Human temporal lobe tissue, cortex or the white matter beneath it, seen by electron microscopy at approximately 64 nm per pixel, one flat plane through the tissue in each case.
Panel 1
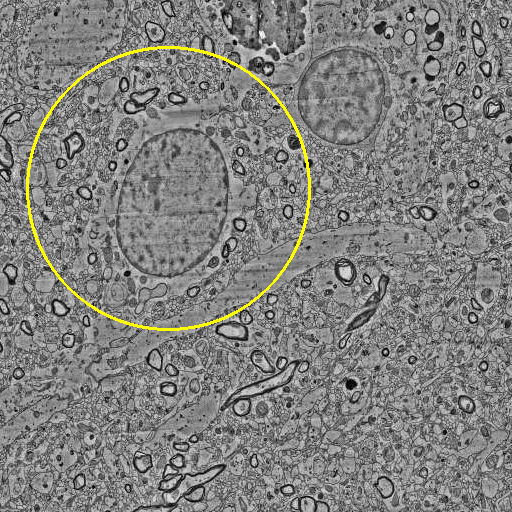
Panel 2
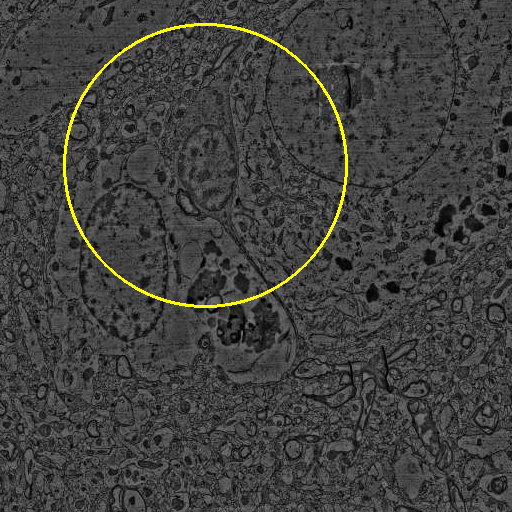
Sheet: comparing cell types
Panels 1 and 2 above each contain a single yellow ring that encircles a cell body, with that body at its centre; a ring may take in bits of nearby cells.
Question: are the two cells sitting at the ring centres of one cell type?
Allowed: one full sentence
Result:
No, the ring-centre cells in Panel 1 and Panel 2 are of two types.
